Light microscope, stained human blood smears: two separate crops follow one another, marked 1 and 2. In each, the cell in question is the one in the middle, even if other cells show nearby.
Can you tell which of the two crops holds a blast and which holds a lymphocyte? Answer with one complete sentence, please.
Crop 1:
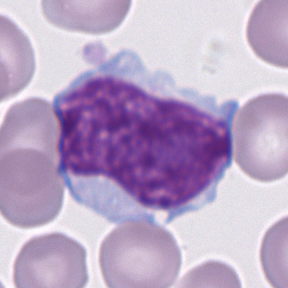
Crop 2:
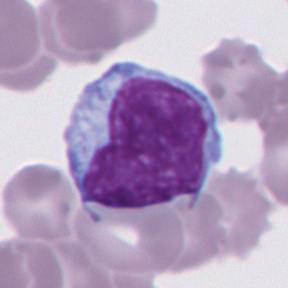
For crop 1 the cell is a blast, and for crop 2 it is a lymphocyte.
